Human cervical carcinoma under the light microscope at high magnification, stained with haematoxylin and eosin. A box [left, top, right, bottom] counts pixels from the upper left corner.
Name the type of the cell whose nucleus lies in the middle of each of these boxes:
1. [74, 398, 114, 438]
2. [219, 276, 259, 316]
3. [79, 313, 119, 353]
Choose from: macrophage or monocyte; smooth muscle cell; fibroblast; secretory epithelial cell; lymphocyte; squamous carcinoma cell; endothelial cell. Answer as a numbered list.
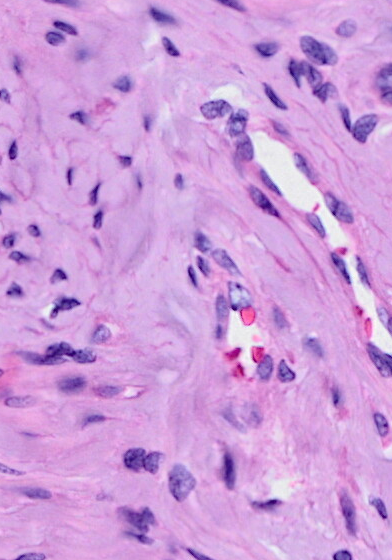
1. fibroblast
2. endothelial cell
3. endothelial cell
